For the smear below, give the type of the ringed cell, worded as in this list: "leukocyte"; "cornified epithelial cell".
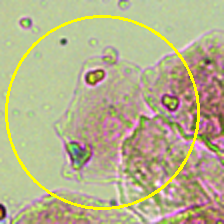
cornified epithelial cell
